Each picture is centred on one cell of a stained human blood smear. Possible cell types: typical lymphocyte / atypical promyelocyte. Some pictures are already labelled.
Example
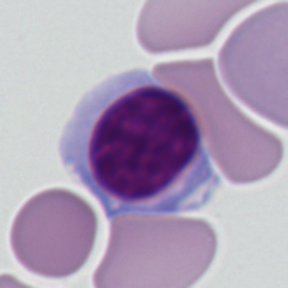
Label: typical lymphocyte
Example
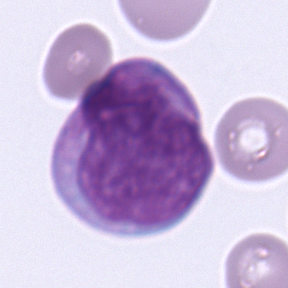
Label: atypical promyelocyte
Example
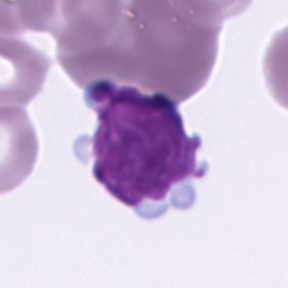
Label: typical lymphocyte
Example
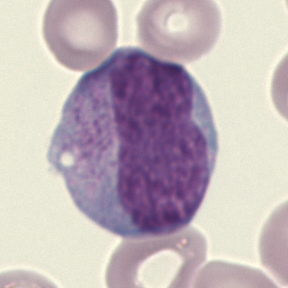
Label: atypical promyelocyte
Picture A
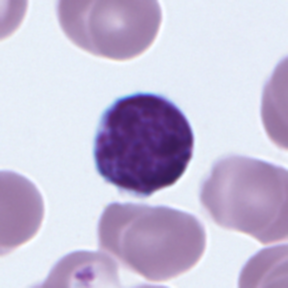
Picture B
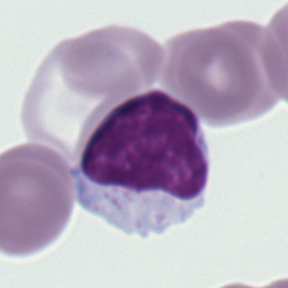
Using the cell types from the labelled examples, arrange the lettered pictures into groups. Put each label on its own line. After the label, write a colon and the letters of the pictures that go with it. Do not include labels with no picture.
typical lymphocyte: A, B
